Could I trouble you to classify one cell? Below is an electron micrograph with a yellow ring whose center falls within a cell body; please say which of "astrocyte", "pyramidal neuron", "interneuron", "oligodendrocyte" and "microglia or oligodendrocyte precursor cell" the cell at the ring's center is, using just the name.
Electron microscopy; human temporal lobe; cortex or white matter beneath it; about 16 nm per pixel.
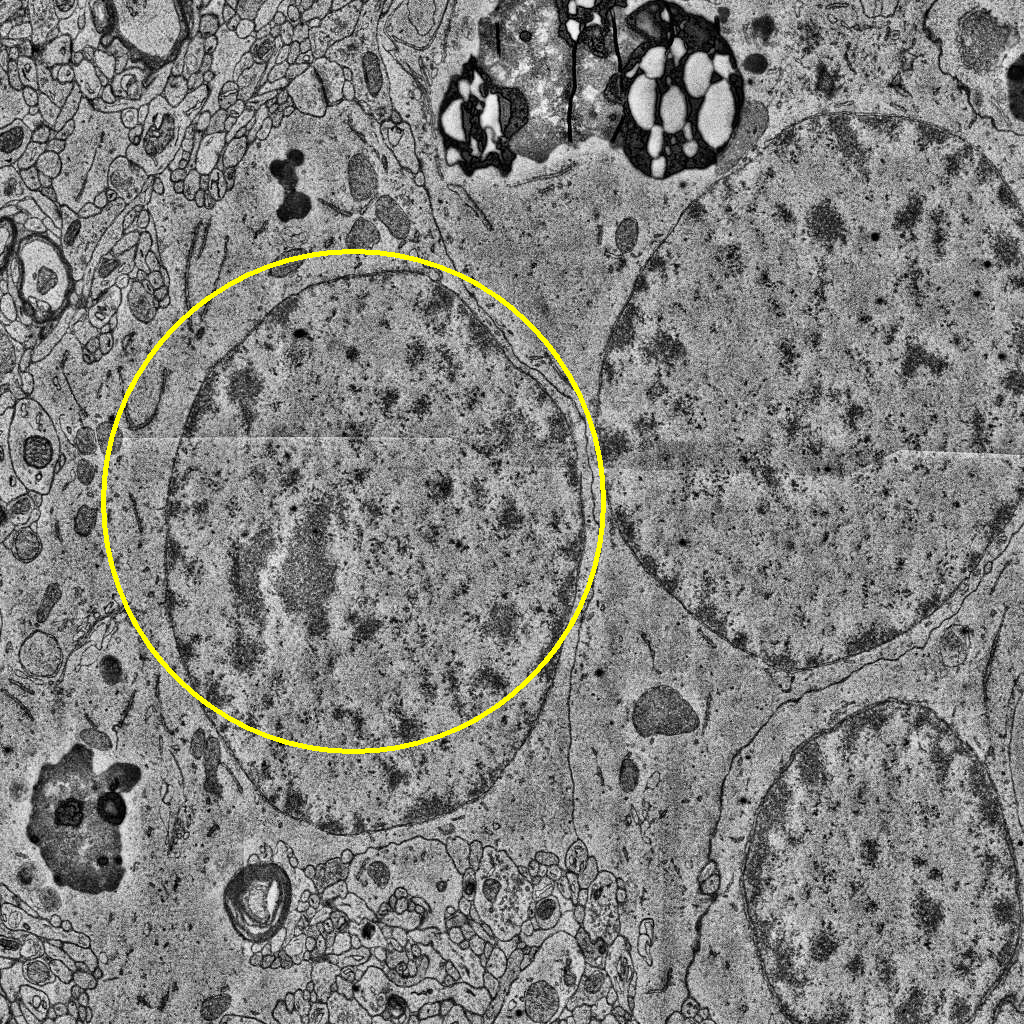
astrocyte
